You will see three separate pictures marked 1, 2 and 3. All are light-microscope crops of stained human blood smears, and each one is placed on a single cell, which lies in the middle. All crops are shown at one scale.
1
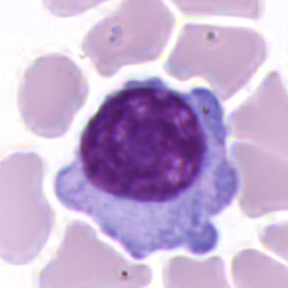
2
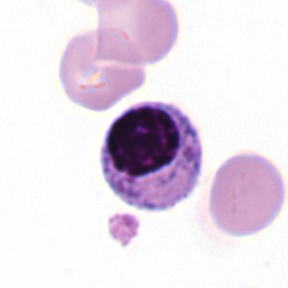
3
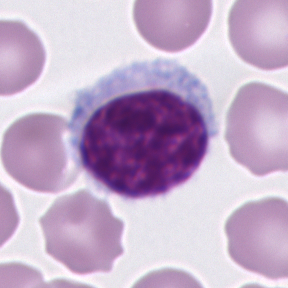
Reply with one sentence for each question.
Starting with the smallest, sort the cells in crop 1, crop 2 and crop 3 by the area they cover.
Smallest first: 2, 3, 1.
